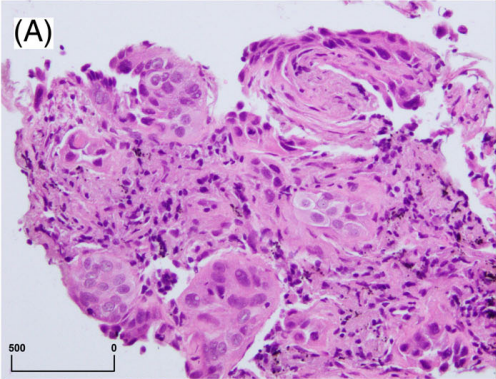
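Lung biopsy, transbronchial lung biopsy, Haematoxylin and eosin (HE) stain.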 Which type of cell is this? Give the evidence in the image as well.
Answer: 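Tumour cells. Nests of large atypical epithelial cells with enlarged nuclei and prominent nucleoli. Abundant eosinophilic cytoplasm in the cell nests. Cell nests lie within a stroma with spindle cells.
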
